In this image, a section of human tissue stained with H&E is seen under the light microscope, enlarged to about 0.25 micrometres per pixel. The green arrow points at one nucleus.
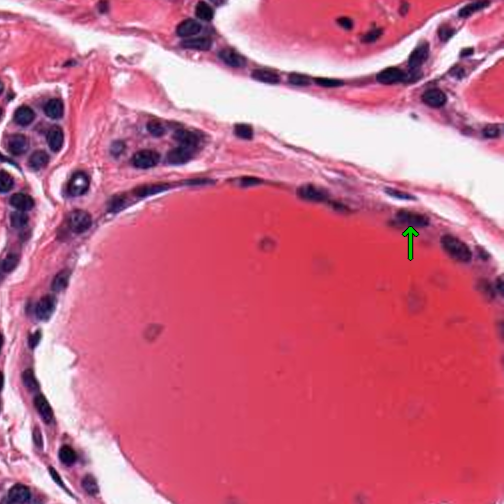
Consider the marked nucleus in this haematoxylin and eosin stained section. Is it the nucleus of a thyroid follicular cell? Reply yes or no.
yes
